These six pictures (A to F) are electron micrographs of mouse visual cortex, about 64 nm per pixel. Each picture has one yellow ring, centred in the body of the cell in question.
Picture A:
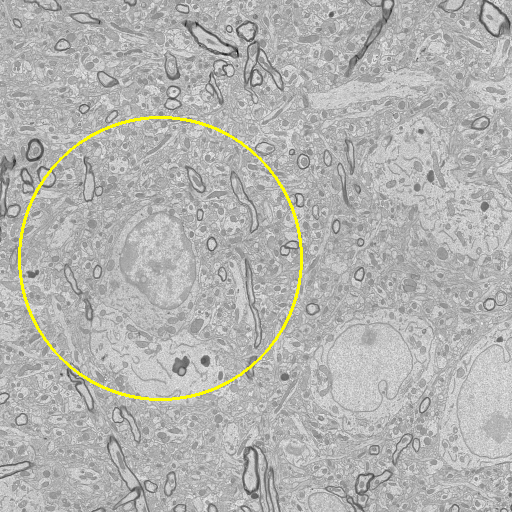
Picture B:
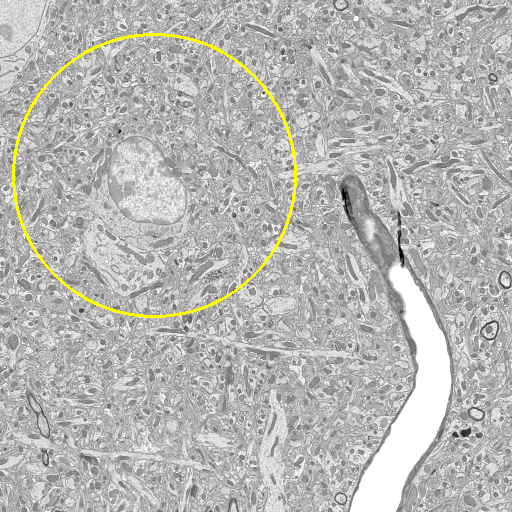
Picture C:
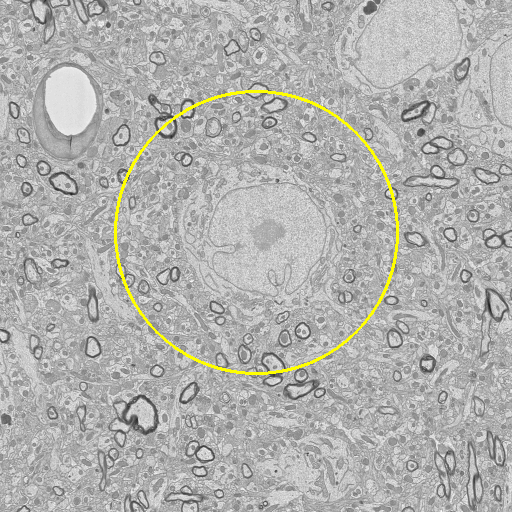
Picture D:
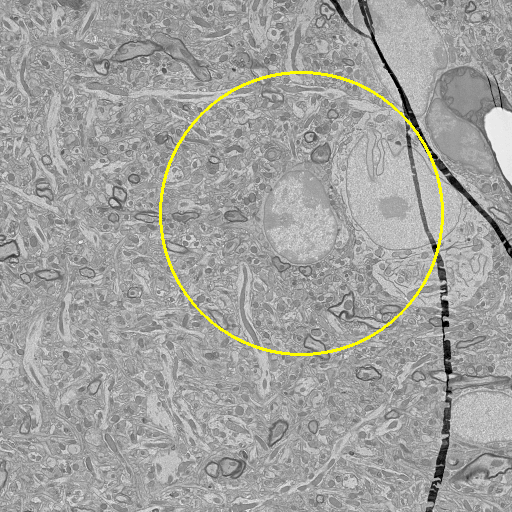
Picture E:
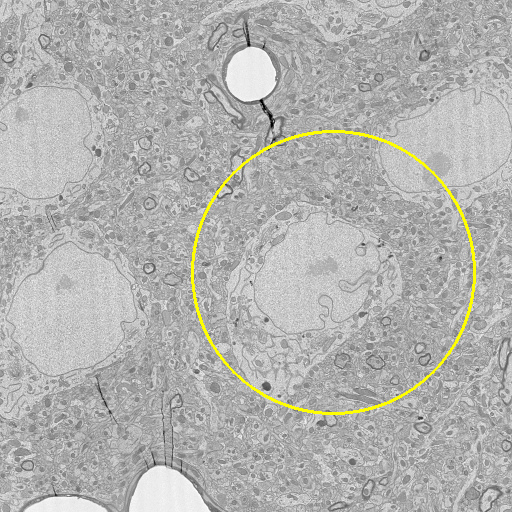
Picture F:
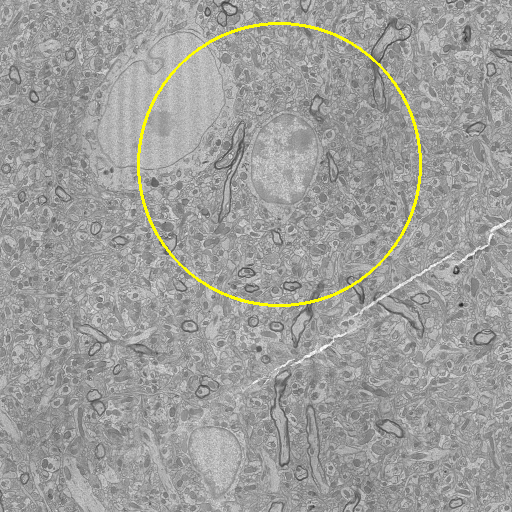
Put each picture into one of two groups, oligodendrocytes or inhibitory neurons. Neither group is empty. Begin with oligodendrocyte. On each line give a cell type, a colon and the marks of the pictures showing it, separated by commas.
oligodendrocyte: A, B, D, F
inhibitory neuron: C, E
